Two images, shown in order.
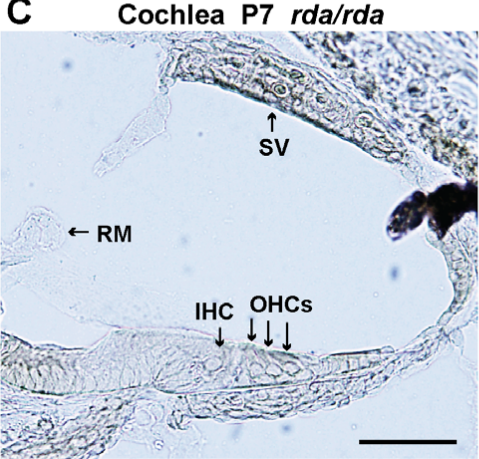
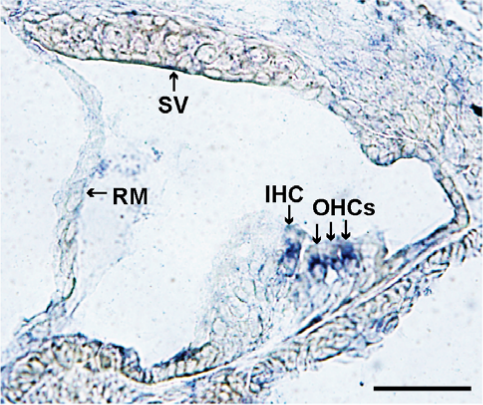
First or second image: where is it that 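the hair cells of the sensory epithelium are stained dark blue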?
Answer: The second image.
